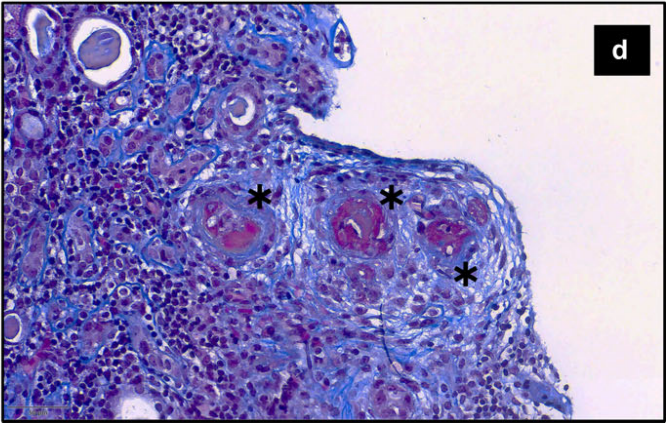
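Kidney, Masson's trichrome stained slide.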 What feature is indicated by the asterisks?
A: An arteriole.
